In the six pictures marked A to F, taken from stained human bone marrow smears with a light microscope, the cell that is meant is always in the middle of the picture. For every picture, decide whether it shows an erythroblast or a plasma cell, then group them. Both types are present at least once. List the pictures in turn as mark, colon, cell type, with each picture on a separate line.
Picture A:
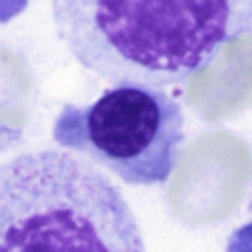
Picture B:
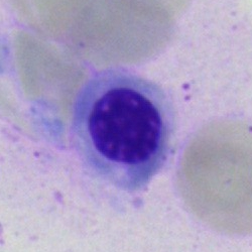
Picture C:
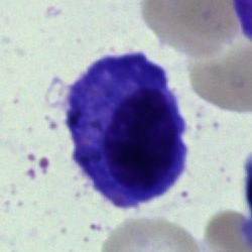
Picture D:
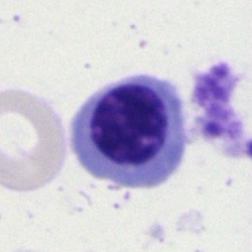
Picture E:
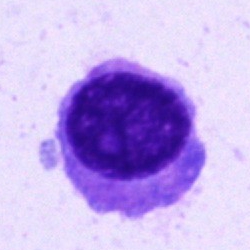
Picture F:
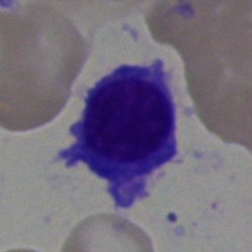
A: erythroblast
B: erythroblast
C: plasma cell
D: erythroblast
E: plasma cell
F: plasma cell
